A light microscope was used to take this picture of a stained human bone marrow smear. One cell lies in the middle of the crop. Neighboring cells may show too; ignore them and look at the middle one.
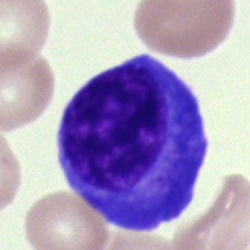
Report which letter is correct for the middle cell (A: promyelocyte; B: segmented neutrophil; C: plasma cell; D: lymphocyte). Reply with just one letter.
C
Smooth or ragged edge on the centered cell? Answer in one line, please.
Smooth edges only, with no spikes, blebs, or other projections.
